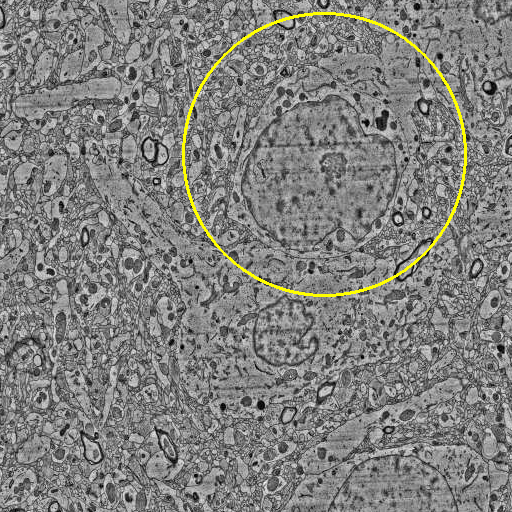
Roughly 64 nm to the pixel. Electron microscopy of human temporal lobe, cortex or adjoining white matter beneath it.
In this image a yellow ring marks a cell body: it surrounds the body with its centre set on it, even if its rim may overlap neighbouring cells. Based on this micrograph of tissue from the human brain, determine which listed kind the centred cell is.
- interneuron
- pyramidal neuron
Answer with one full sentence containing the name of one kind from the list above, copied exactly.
It is an interneuron whose body the yellow ring encloses at its centre.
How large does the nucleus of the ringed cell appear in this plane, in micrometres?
The ringed cell's nucleus is about 11 micrometres long and 9 micrometres wide in this plane.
